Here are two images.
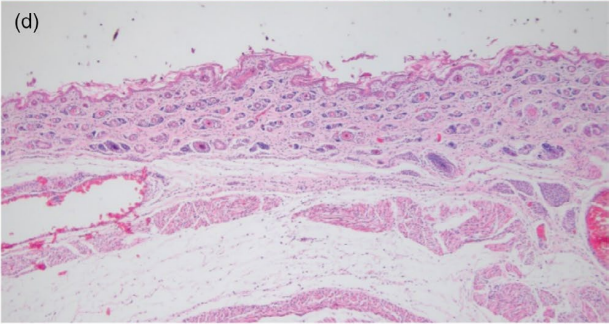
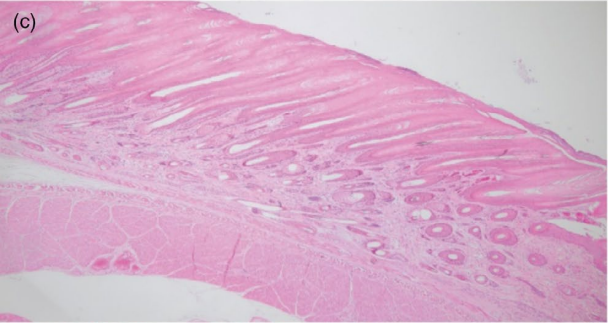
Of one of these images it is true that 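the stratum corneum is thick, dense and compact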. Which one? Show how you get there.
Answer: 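The second image. First image: the surface keratin is a thin layer of loose wavy flakes. Second image: a very thick, solid, laminated pink keratin band covers the skin.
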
